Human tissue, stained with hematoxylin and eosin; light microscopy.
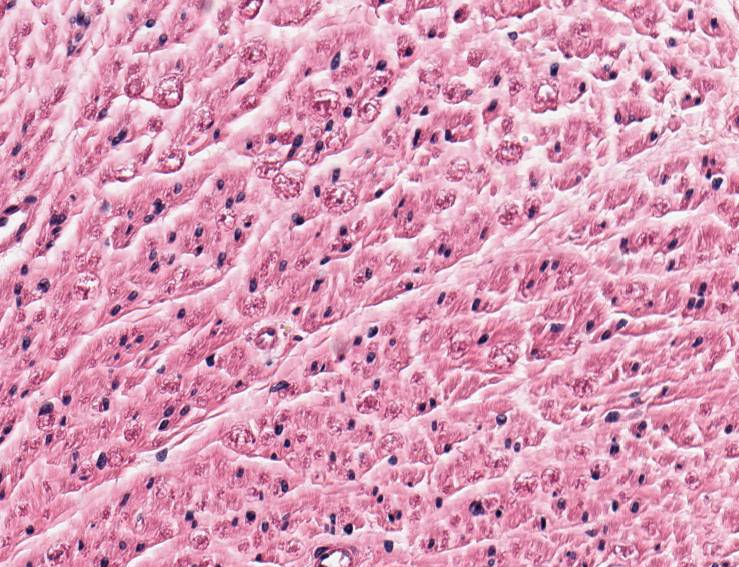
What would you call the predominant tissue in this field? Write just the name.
nerve fascicle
